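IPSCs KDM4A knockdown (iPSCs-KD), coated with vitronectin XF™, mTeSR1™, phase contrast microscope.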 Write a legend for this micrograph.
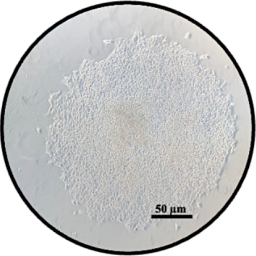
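The colony is roughly round, with many small, tightly packed cells forming a dense sheet. Individual cells are small and have little visible cytoplasm, giving the colony a finely granular texture. The edge of the colony is irregular, with cells loosening at the border, and the surrounding dish surface is largely empty.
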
